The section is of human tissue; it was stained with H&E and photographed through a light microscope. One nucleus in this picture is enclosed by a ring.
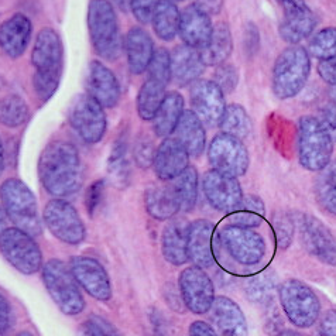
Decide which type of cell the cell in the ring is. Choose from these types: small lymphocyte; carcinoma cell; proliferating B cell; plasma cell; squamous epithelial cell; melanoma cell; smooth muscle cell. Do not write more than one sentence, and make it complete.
By its classification, the cell in the ring is a carcinoma cell.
